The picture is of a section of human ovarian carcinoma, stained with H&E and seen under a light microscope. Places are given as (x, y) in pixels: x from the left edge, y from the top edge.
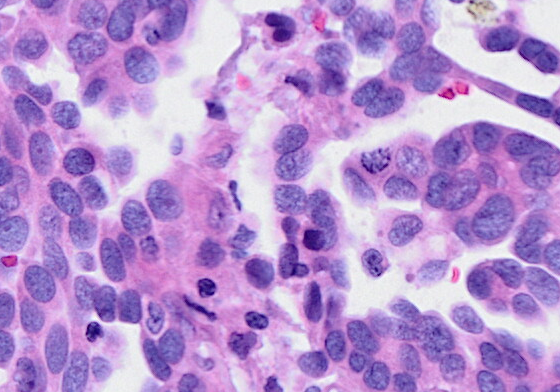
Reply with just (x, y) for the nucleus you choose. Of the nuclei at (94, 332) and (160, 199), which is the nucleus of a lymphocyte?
(94, 332)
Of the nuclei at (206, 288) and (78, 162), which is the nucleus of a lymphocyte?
(206, 288)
